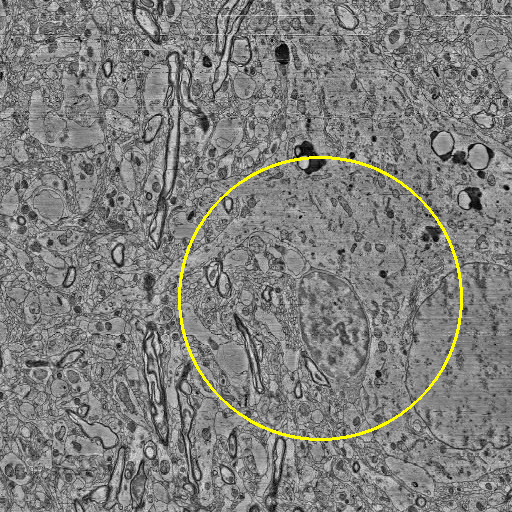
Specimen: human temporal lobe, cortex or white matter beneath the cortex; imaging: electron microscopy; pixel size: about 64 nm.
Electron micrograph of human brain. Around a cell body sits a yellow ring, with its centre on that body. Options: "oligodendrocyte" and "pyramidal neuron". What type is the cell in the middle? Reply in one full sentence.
The cell sitting at the centre of the yellow ring is an oligodendrocyte.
